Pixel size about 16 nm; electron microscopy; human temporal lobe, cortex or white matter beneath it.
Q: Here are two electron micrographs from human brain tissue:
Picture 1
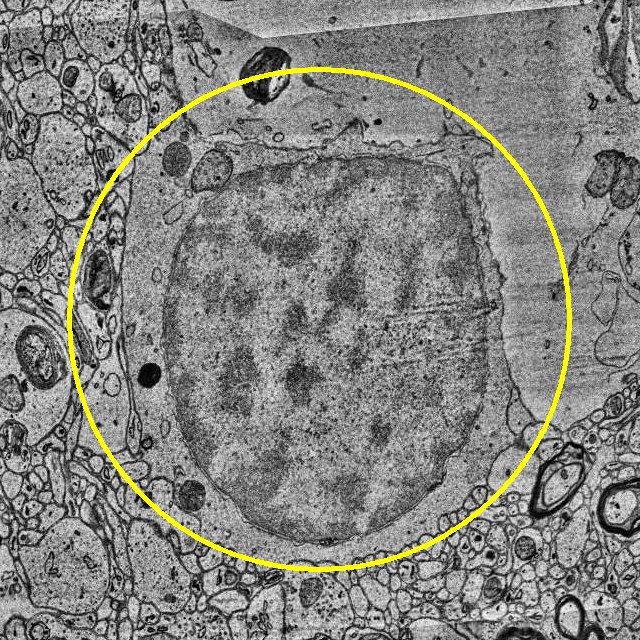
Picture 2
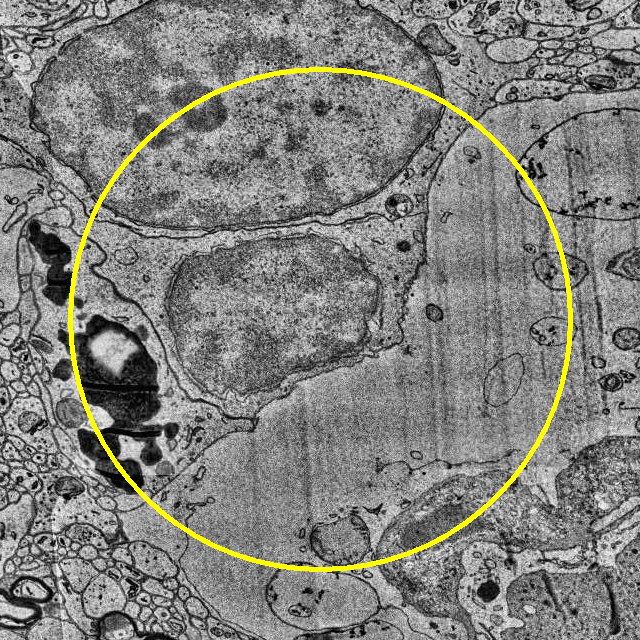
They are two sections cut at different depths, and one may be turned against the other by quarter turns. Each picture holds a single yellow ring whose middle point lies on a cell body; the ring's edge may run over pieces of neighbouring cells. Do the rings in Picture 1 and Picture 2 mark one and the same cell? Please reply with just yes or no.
yes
